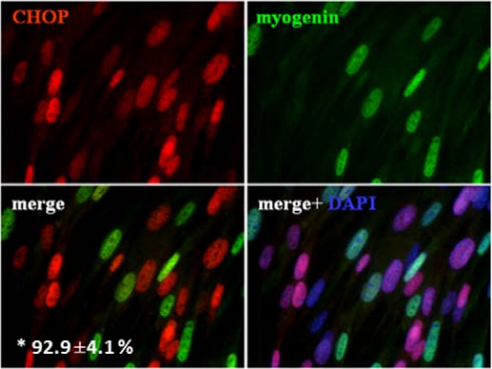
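This is a dense culture of myoblasts, seen mainly as oval to elongated nuclei lying roughly parallel to one another. In the single-colour views some nuclei glow red and others green. In the overlay the red and green mostly fall on different nuclei, so the population splits into two sets rather than showing much yellow. With the blue counterstain added, red nuclei look magenta and green nuclei look cyan, showing the nuclei in the field. The cells themselves are only faintly outlined, as spindle-shaped bodies aligned along a common direction.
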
